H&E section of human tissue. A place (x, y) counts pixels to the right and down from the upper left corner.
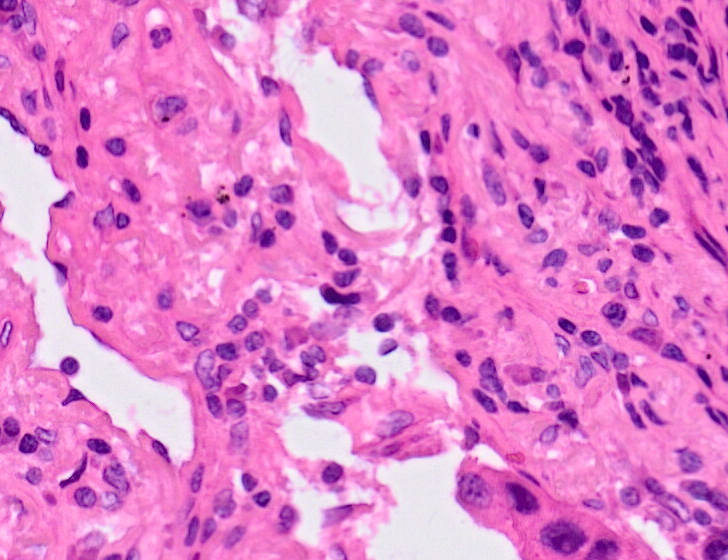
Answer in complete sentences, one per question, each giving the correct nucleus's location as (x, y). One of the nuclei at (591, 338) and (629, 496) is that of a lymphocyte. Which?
Of the pair, the nucleus positioned at (591, 338) is that of a lymphocyte.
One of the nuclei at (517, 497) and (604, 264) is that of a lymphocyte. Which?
The nucleus of a lymphocyte lies at (604, 264), not at the other position.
